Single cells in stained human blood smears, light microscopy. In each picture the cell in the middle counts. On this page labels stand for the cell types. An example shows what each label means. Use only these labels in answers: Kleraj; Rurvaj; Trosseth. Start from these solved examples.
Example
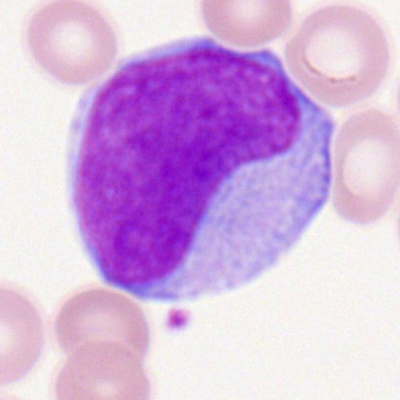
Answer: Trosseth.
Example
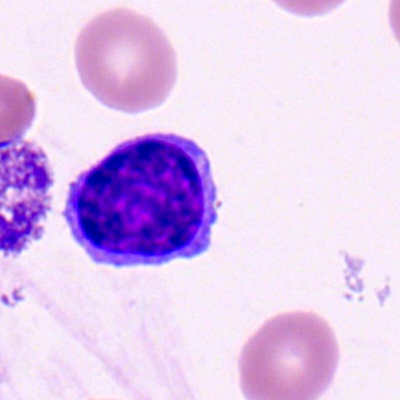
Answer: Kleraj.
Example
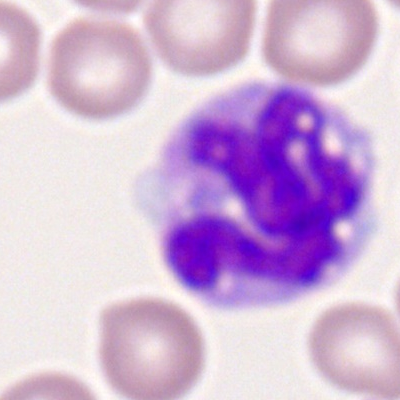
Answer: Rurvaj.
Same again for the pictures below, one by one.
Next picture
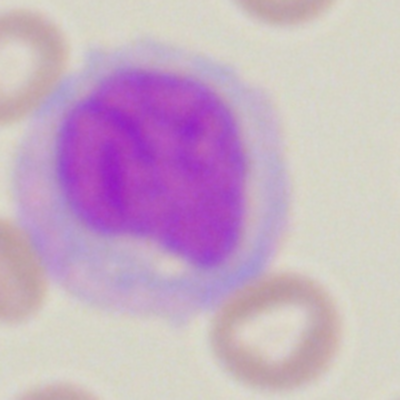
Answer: Rurvaj.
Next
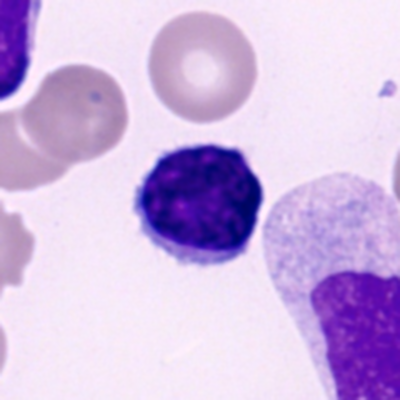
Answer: Kleraj.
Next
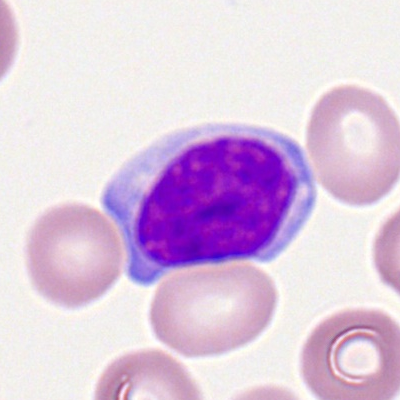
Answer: Kleraj.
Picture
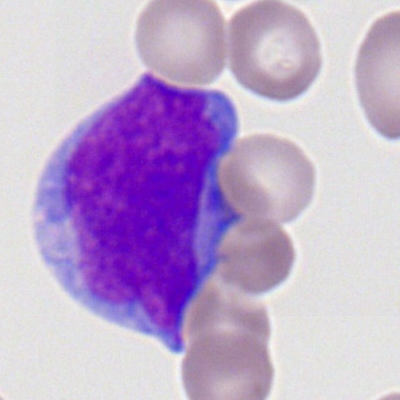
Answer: Trosseth.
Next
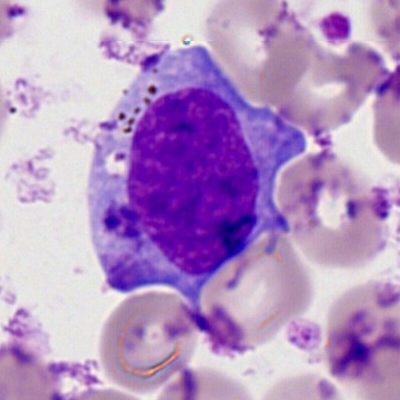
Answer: Trosseth.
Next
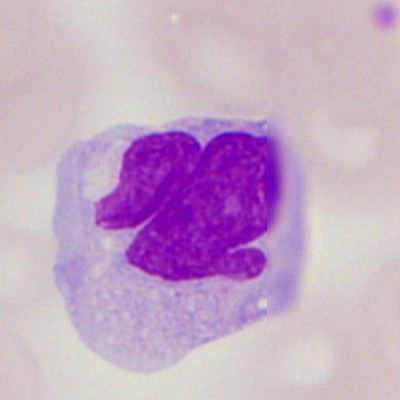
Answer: Rurvaj.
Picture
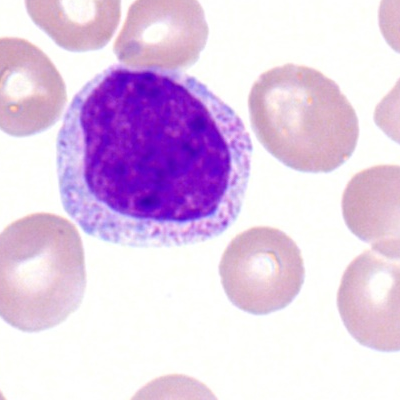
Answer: Kleraj.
